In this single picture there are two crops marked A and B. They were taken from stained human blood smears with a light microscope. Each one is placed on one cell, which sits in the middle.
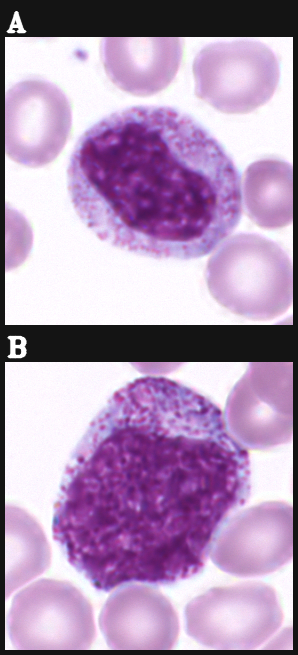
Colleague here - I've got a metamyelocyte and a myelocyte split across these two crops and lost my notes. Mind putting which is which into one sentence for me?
Crop A is labelled a metamyelocyte, and crop B is labelled a myelocyte.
